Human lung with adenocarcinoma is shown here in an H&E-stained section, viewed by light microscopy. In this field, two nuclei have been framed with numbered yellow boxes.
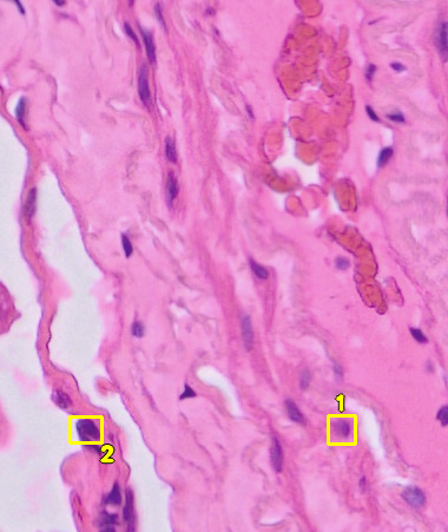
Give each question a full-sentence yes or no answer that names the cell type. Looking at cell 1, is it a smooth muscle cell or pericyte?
Yes, it is a smooth muscle cell or pericyte that carries the number 1.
